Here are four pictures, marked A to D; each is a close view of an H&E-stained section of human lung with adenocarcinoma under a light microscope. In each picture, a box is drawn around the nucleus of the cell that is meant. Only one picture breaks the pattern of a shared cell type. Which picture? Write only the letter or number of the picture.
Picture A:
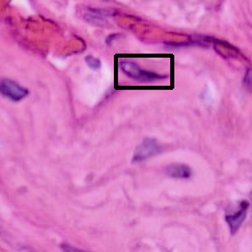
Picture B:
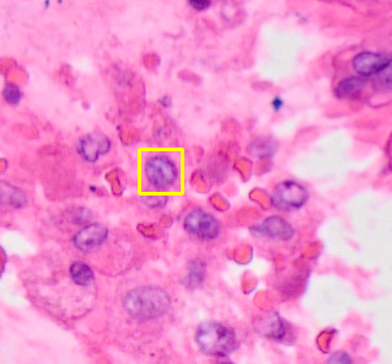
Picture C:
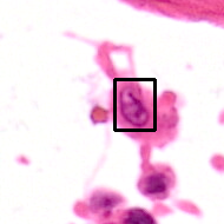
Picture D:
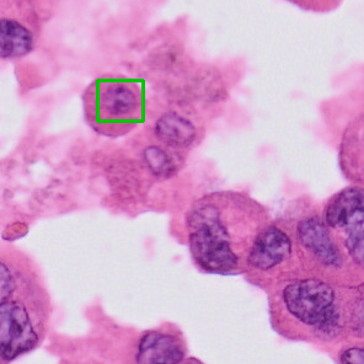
A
